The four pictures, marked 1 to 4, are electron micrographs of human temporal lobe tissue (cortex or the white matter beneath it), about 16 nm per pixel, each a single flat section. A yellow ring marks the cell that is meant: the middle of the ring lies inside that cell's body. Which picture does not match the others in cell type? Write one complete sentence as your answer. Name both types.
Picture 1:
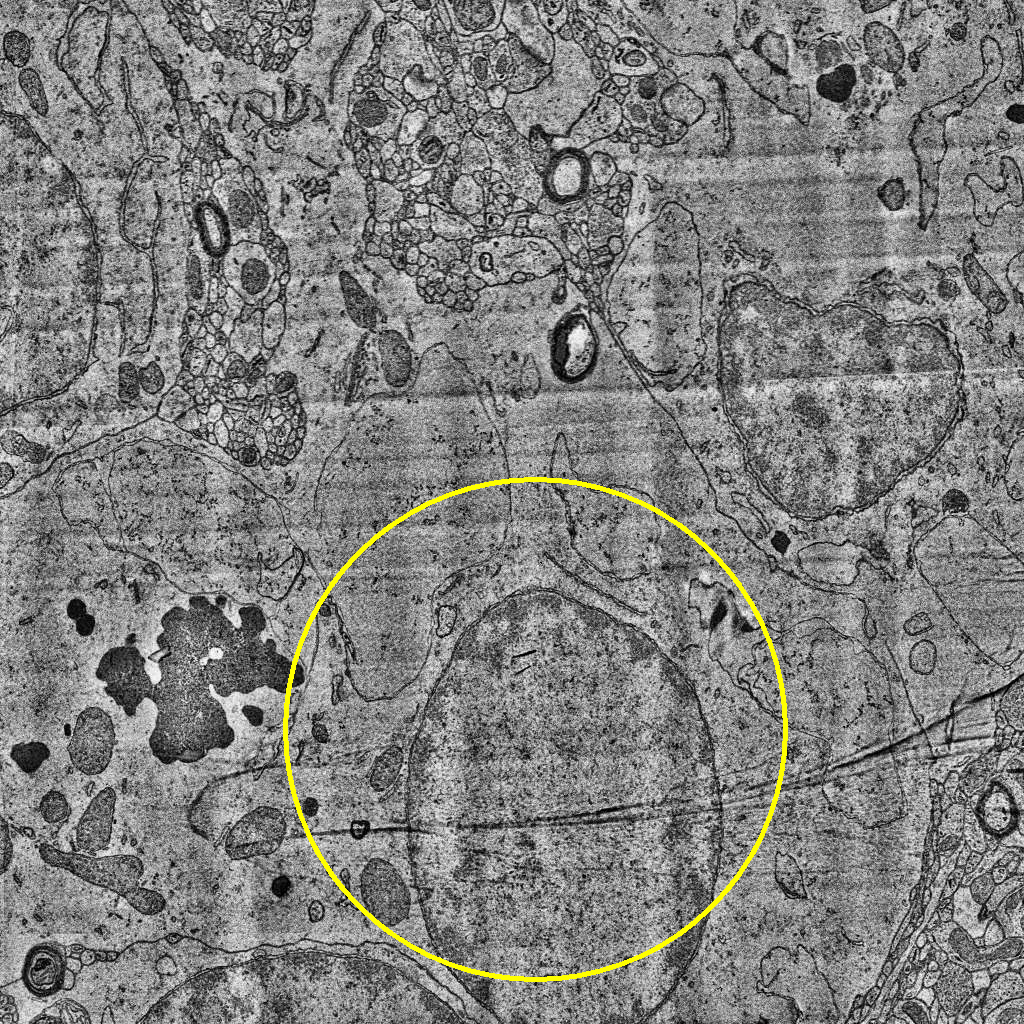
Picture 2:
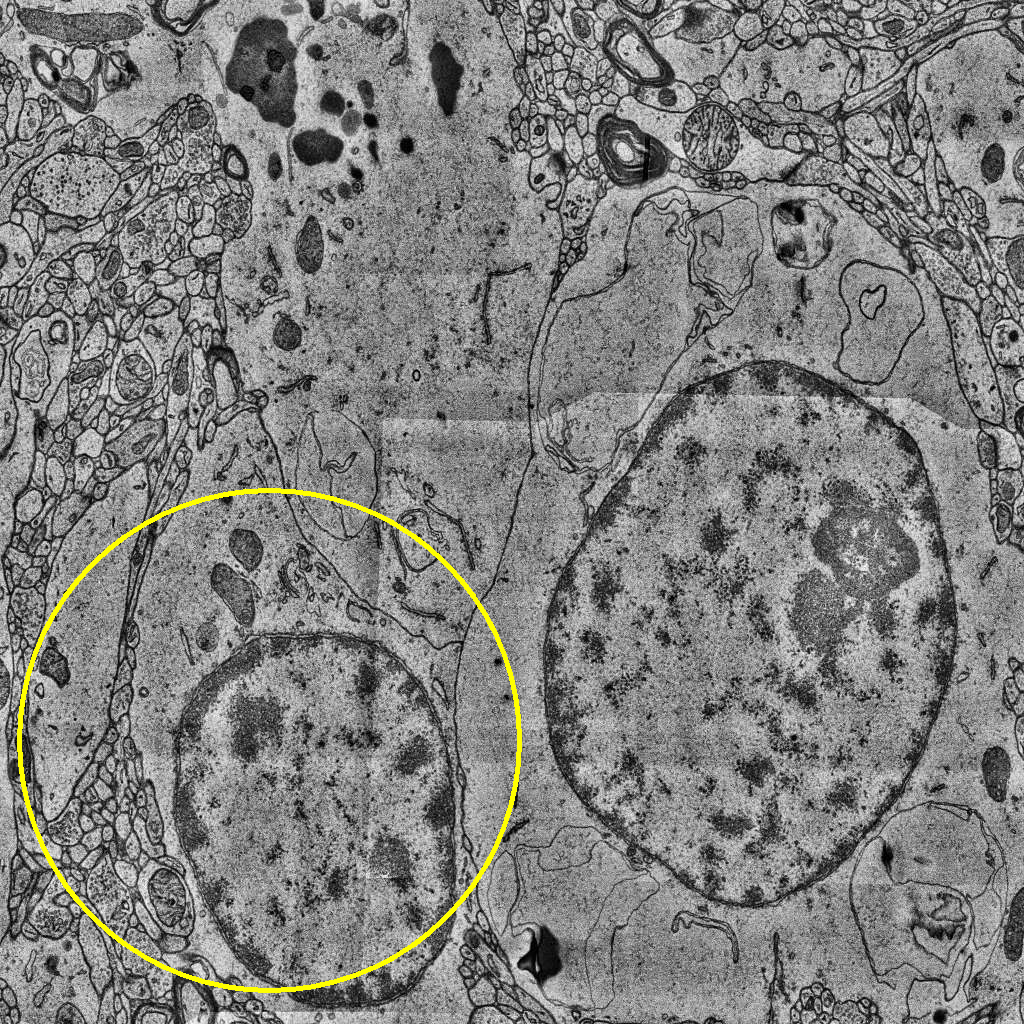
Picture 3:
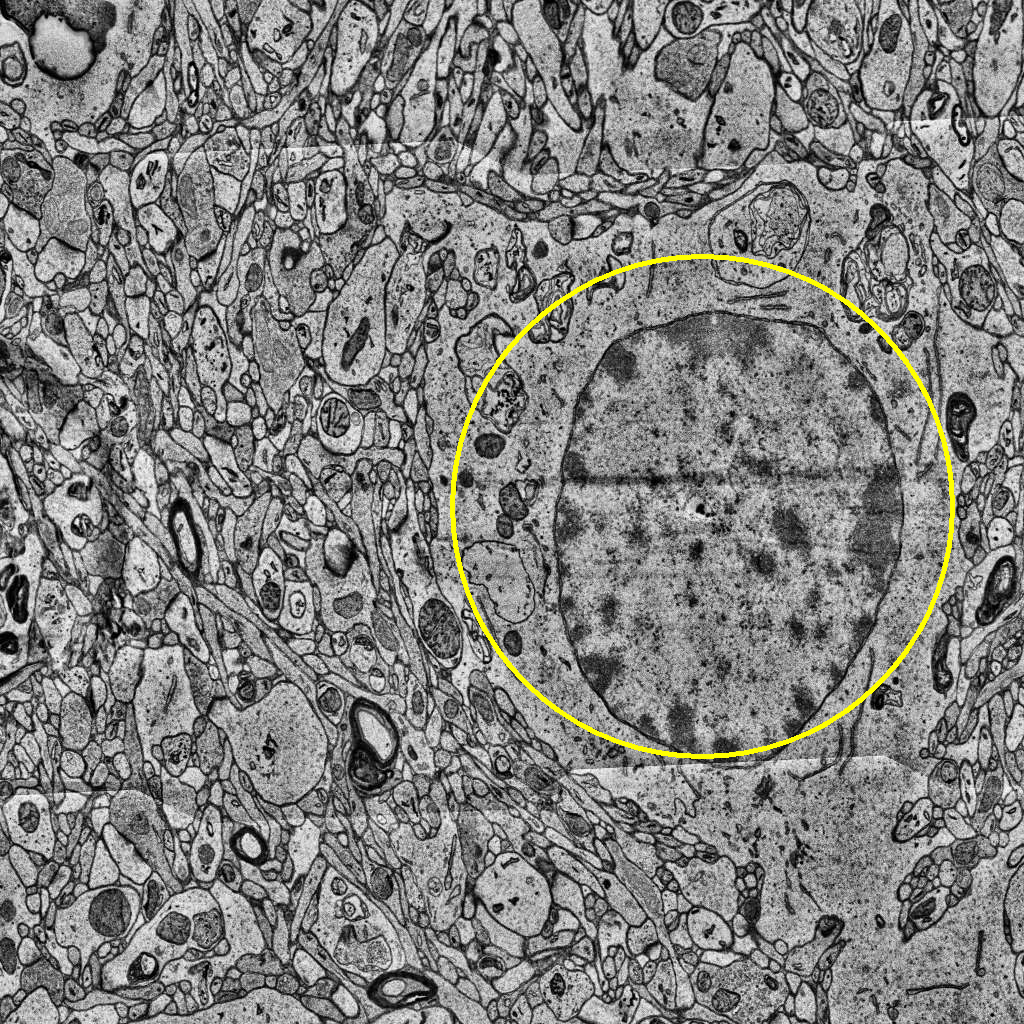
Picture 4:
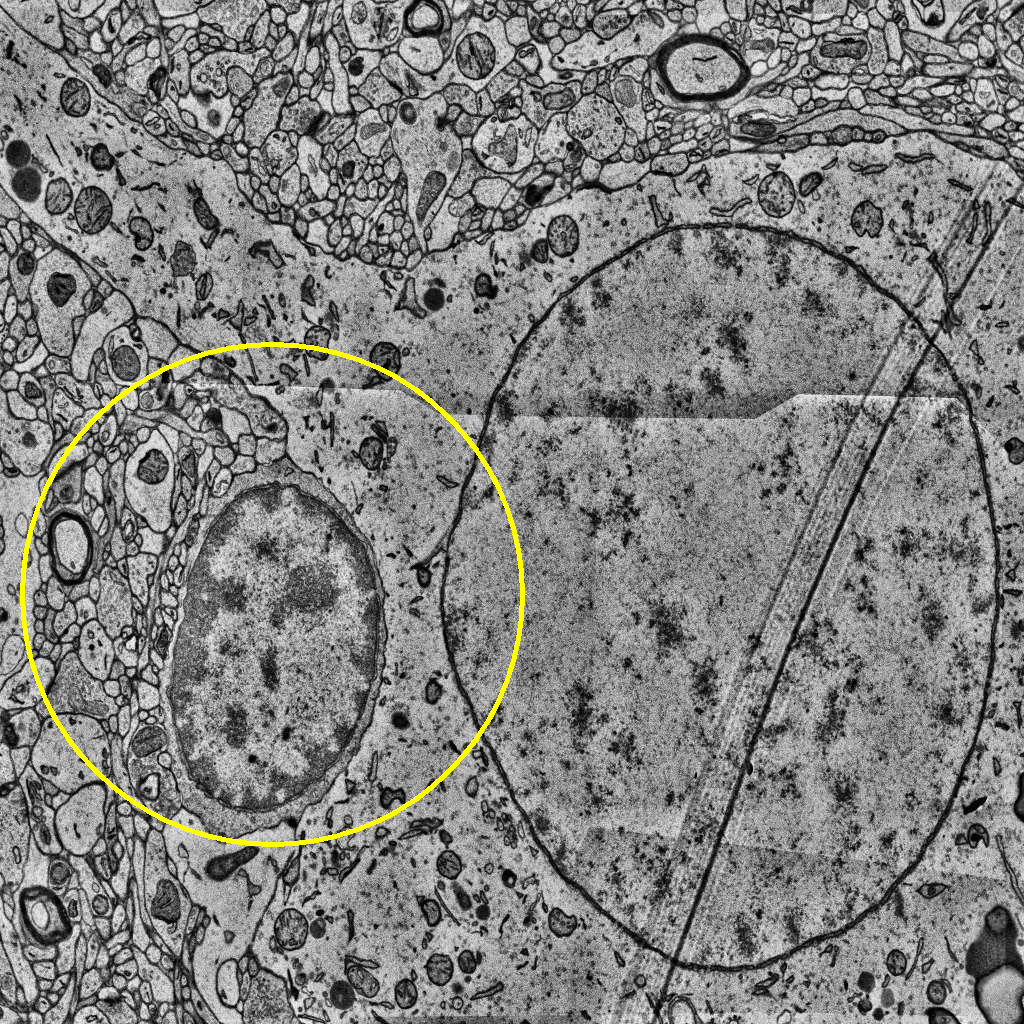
Picture 4 is the odd one out: it shows an oligodendrocyte, while the others show astrocytes.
